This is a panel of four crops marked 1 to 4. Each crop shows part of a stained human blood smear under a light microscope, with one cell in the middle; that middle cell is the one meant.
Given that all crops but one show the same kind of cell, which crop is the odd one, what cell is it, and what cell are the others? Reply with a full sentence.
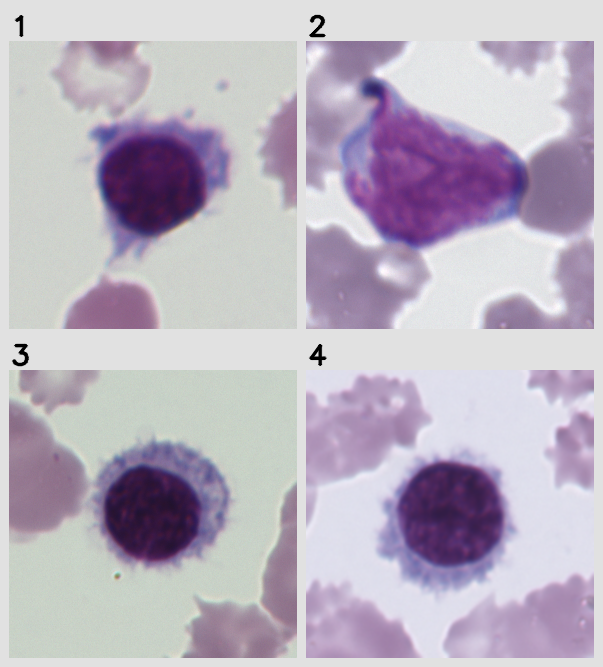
Crop 2 is singled out as a myeloblast, and all of the other crops show hairy cells.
